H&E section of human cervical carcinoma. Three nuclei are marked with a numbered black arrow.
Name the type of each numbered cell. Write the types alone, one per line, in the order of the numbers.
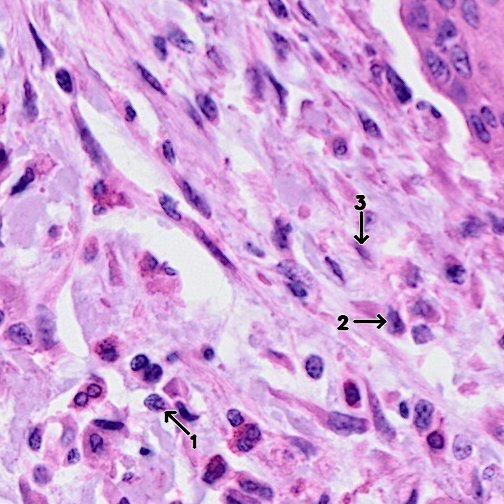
lymphocyte
macrophage or monocyte
fibroblast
